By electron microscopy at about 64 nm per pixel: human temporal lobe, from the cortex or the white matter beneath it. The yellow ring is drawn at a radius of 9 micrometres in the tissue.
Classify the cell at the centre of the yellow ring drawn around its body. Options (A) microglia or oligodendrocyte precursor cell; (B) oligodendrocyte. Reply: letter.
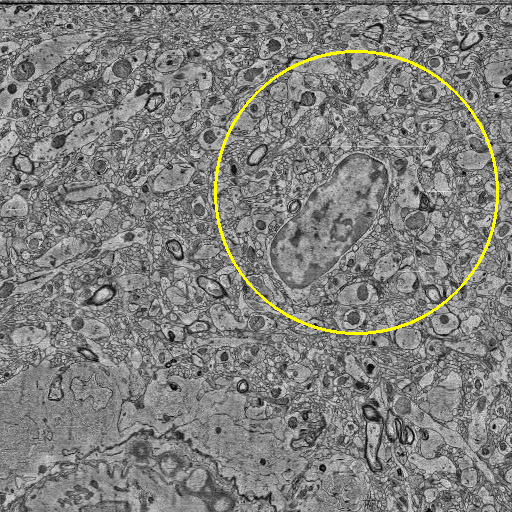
A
